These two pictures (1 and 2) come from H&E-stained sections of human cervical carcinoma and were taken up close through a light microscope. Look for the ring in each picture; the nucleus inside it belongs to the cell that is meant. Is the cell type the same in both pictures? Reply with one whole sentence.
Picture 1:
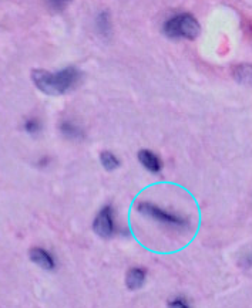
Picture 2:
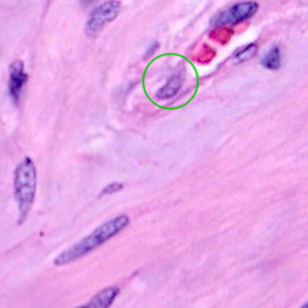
No; the cell in picture 1 is a fibroblast, while the one in picture 2 is an endothelial cell.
